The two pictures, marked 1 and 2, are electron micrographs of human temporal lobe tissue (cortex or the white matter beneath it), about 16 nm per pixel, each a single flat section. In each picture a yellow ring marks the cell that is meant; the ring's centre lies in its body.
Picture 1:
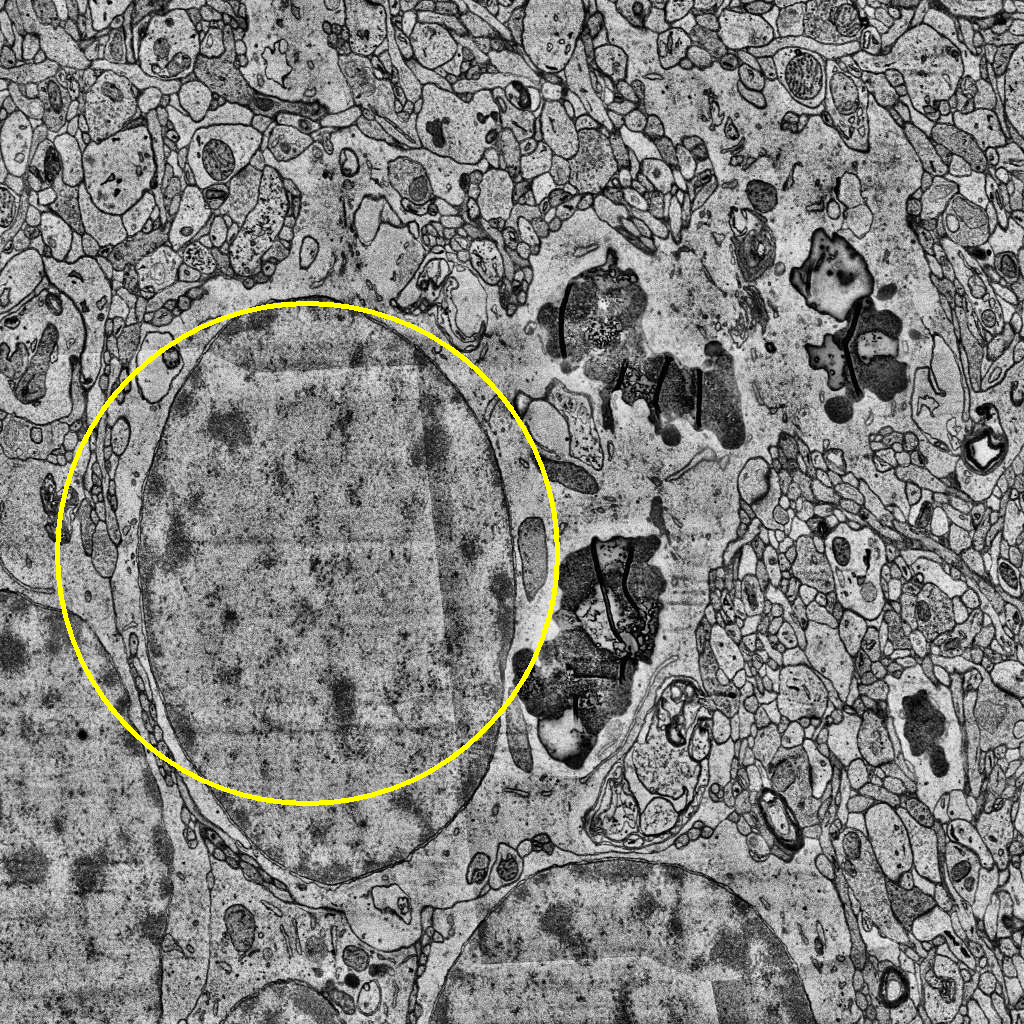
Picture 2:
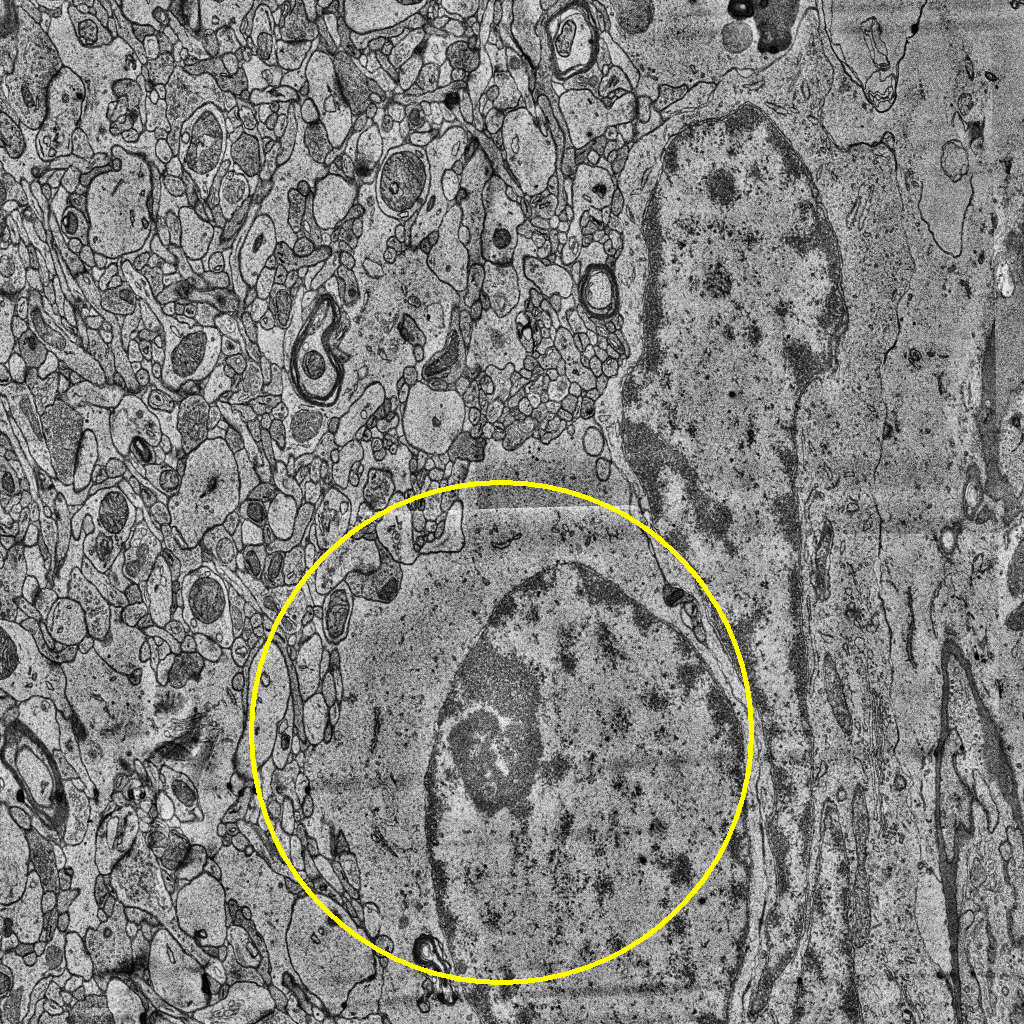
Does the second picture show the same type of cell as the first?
Yes, the two pictures both show astrocytes.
